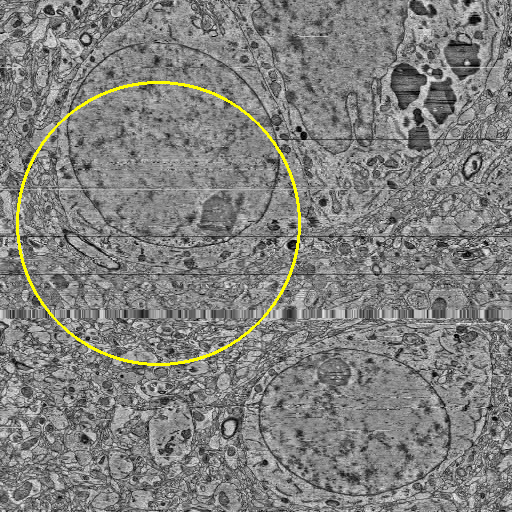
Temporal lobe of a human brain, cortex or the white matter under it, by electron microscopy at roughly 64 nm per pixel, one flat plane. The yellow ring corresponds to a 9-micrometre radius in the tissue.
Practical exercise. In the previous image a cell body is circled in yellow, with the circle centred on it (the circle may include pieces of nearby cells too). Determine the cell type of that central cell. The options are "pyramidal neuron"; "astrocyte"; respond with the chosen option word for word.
pyramidal neuron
